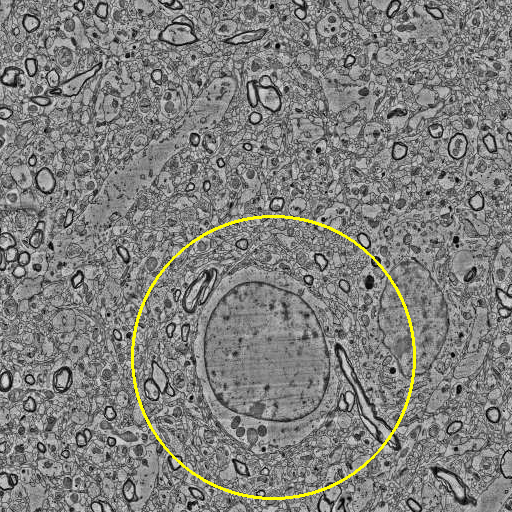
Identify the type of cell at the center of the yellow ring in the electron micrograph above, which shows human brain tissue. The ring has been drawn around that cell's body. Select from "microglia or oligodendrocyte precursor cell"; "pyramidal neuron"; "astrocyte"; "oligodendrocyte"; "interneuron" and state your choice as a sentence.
The yellow ring is centered on the body of an astrocyte.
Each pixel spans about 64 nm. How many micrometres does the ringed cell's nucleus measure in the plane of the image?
The nucleus works out at approximately 9 by 8 micrometres in this plane.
